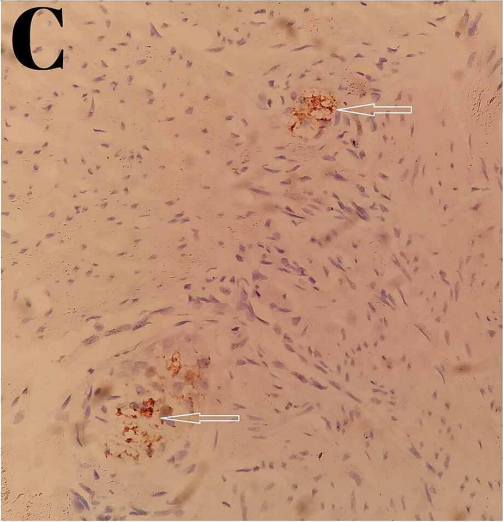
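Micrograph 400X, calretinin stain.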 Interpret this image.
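The field is a pale, loose stroma of spindle-shaped cells with blue, elongated nuclei. Two small clusters of cells stand out with coarse, granular brown cytoplasm, one in the upper part and one in the lower left. The surrounding spindle cells stay unstained apart from their blue nuclei. These brown-stained clusters are ganglion cells.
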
